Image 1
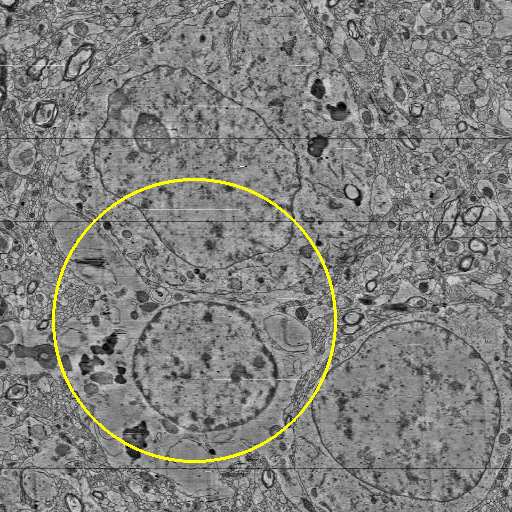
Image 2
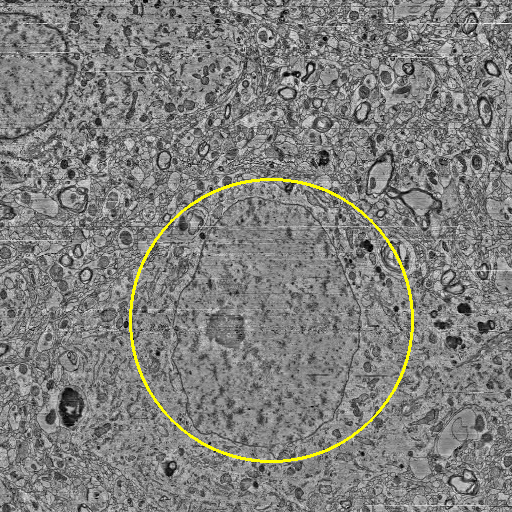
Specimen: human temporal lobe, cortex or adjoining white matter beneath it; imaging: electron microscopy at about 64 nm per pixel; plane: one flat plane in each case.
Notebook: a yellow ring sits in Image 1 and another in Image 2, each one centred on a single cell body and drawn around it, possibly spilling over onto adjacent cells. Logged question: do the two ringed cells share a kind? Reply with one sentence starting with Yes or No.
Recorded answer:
No, the centre cells inside the rings of Image 1 and Image 2 are of two kinds.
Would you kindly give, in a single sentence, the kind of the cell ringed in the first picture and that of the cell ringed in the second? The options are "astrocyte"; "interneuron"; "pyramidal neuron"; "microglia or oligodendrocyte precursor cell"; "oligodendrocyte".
The second cell is a pyramidal neuron, and the first cell is an astrocyte.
